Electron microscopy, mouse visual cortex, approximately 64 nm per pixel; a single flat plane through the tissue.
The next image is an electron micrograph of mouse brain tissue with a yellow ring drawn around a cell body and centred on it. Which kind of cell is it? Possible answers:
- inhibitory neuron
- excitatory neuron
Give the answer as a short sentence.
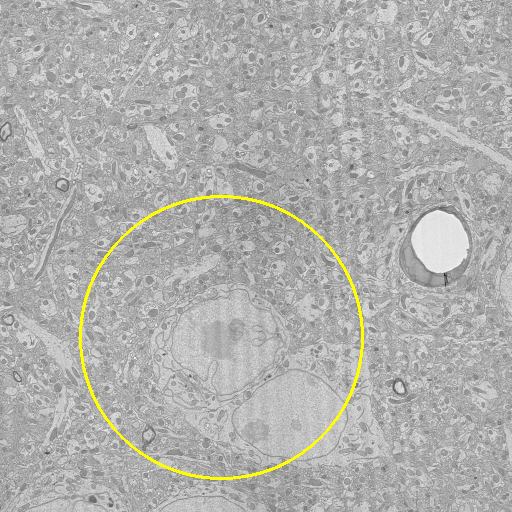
In the ring's centre is an inhibitory neuron.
